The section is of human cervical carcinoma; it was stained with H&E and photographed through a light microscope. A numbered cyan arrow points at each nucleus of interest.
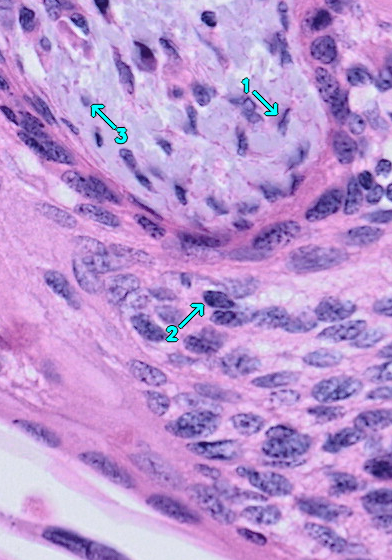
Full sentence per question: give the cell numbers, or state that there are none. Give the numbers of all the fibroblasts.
The cells that the numbers 1 and 3 belong to are fibroblasts.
